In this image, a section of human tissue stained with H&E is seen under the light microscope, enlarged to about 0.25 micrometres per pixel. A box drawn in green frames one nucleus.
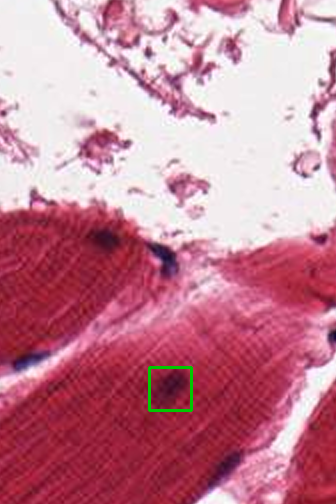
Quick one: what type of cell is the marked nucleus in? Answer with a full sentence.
The marked nucleus is that of a skeletal muscle fibre in this section.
